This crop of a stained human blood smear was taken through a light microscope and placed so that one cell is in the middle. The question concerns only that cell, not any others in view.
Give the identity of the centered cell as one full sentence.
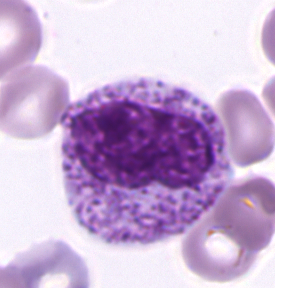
The centrally positioned cell in the crop represents a metamyelocyte.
